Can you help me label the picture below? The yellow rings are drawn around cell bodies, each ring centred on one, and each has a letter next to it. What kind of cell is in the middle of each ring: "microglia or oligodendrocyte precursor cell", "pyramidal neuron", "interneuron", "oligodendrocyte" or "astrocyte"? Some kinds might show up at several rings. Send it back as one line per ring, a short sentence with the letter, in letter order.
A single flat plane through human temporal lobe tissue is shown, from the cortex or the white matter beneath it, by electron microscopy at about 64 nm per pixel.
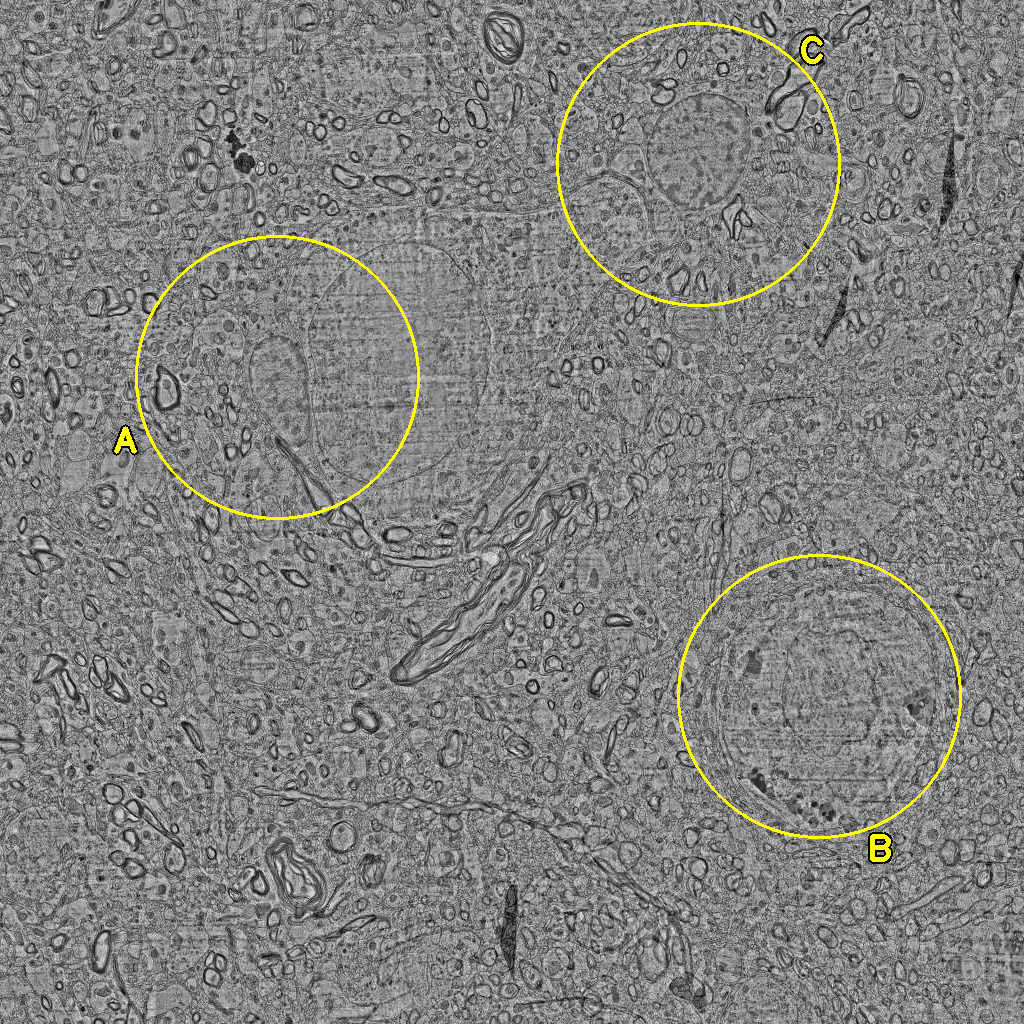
Ring A has an oligodendrocyte in the middle.
Ring B has a pyramidal neuron in the middle.
Ring C has an oligodendrocyte in the middle.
